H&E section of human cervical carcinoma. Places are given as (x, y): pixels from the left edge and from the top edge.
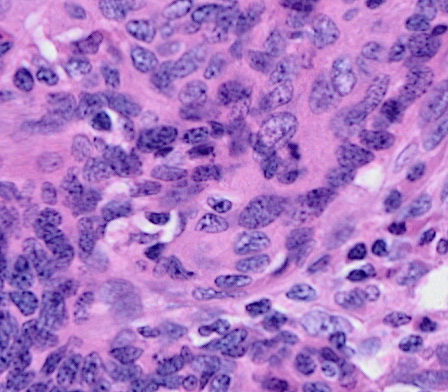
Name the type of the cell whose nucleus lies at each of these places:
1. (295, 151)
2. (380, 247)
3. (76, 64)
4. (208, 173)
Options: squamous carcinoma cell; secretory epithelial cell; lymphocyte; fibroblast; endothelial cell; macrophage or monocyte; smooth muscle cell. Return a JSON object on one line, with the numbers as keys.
{"1": "squamous carcinoma cell", "2": "lymphocyte", "3": "squamous carcinoma cell", "4": "squamous carcinoma cell"}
